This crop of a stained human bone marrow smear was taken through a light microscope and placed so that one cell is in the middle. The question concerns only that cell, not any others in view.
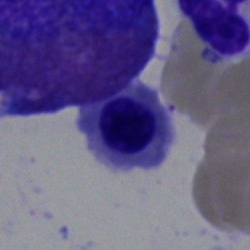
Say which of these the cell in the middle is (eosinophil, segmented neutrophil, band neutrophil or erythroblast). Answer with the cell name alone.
erythroblast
